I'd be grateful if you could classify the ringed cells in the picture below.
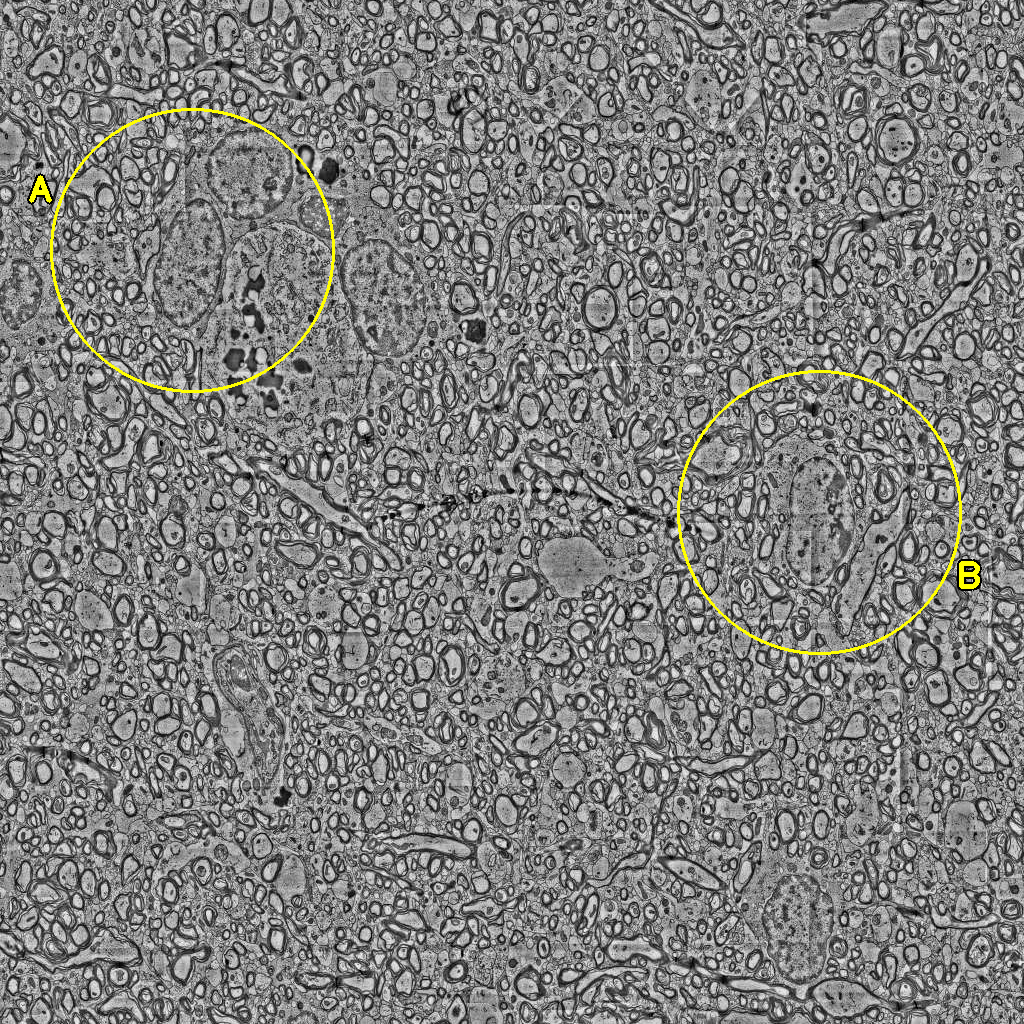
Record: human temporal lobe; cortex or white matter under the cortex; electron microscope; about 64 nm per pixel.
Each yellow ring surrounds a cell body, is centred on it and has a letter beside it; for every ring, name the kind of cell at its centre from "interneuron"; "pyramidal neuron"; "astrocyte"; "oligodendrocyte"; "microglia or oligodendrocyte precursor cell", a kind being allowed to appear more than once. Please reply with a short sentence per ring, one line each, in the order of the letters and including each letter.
In ring A we have an oligodendrocyte.
In ring B we have a microglial cell or oligodendrocyte precursor cell.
